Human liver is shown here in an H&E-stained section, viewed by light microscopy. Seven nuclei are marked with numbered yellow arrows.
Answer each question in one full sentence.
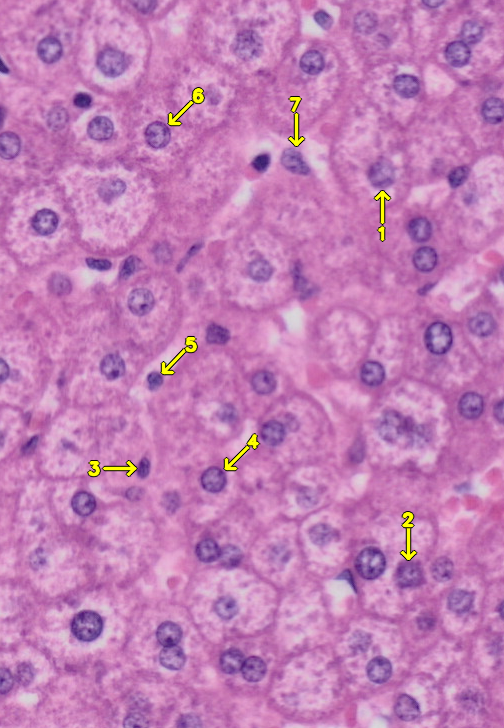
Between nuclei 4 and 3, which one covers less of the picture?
It is nucleus 3; nucleus 4 has about 2.5 times its area.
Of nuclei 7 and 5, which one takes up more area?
Number 7 is larger; its area is about 2.5 times that of number 5.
